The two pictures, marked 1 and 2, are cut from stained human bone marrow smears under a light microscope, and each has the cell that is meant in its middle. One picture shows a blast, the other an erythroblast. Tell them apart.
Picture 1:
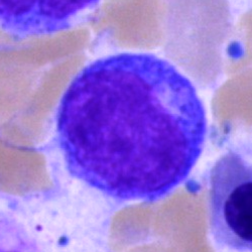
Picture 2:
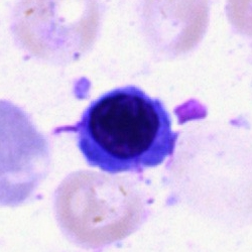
1: blast
2: erythroblast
